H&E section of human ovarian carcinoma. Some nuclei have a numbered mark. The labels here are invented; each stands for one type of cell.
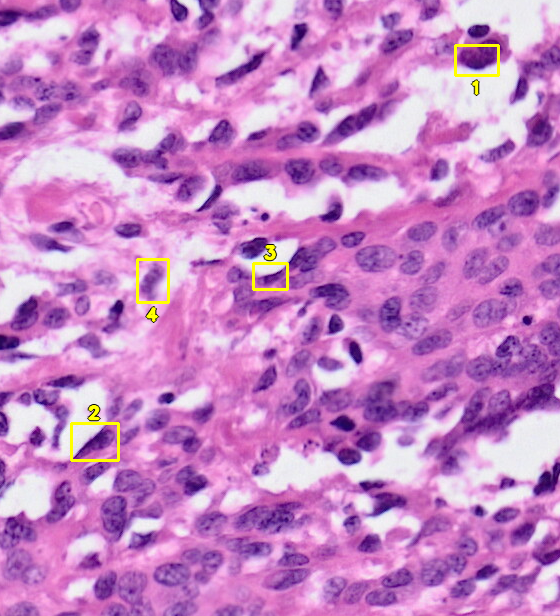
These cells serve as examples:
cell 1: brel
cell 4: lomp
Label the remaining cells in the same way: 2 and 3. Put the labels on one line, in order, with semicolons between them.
brel; brel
